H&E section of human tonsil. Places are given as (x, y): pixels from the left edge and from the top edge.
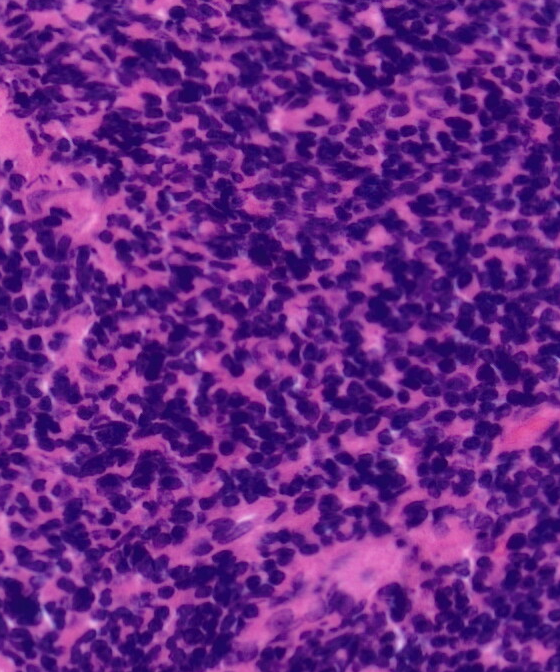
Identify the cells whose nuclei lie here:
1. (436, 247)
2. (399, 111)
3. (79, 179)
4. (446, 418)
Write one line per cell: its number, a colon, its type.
1: small lymphocyte
2: endothelial cell
3: endothelial cell
4: small lymphocyte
